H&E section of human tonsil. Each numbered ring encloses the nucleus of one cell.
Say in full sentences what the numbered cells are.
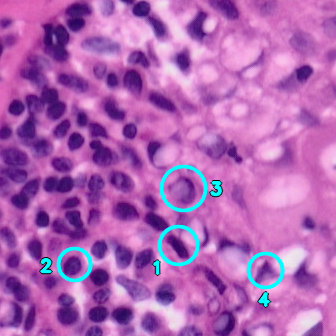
Cells 1, 3 and 4 are squamous epithelial cells. Cell 2 is a plasma cell.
